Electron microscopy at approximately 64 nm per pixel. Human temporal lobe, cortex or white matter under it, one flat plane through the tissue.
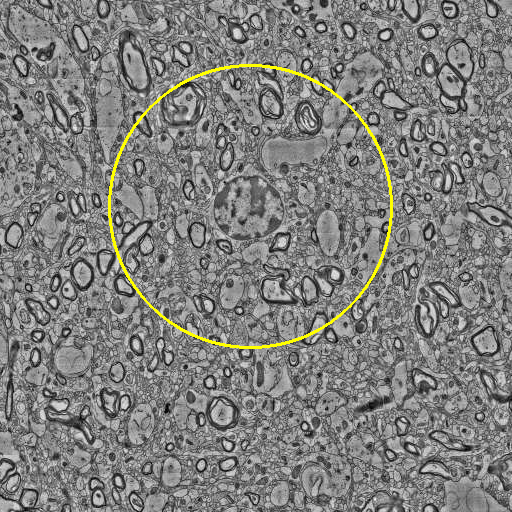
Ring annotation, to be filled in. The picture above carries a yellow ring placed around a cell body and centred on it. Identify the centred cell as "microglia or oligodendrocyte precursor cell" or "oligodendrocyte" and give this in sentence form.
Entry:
The cell in the middle of the ring is a microglial cell or oligodendrocyte precursor cell.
